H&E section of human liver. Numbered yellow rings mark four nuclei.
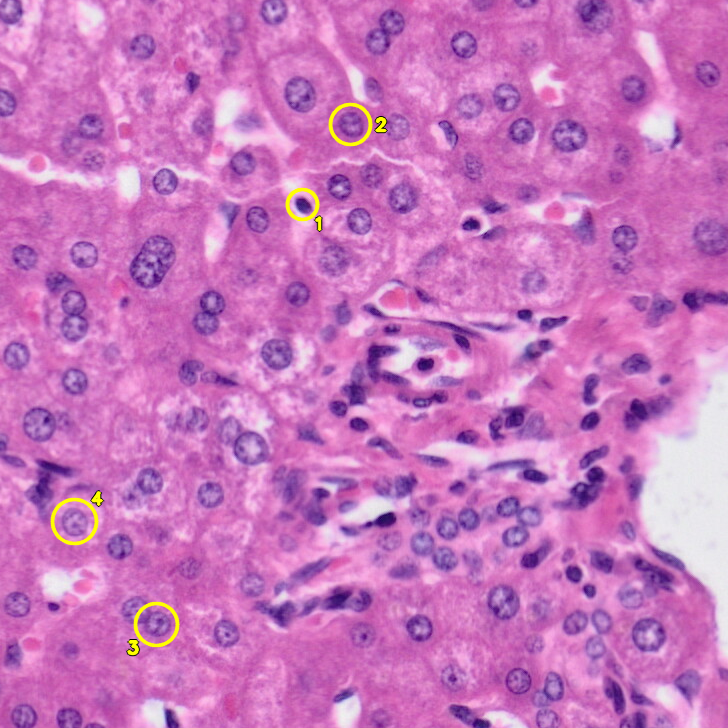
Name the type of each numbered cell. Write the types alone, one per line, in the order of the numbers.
lymphocyte
hepatocyte
hepatocyte
hepatocyte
